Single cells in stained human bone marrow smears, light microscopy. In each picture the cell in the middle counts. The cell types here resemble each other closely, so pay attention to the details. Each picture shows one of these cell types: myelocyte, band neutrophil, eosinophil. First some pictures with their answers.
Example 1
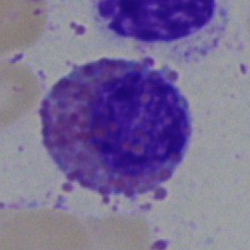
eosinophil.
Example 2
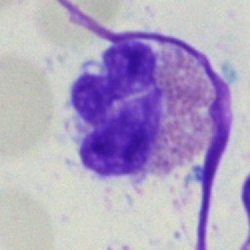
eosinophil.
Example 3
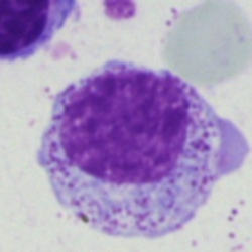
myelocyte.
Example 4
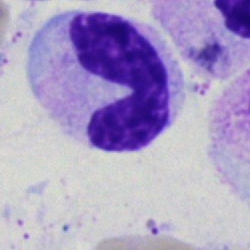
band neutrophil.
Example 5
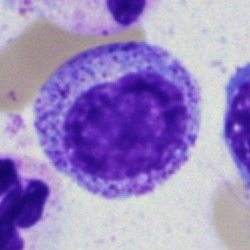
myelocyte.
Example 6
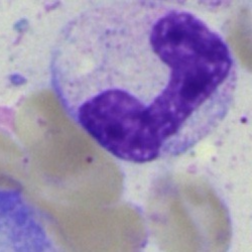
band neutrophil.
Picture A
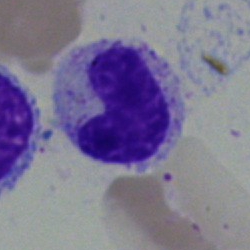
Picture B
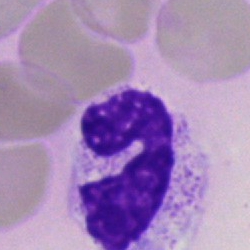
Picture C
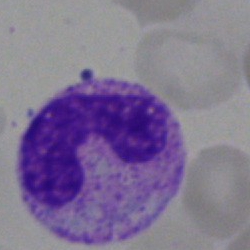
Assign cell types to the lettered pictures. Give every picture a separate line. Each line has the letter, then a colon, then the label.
A: band neutrophil.
B: band neutrophil.
C: band neutrophil.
